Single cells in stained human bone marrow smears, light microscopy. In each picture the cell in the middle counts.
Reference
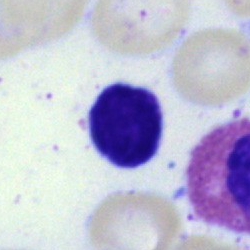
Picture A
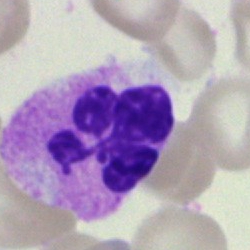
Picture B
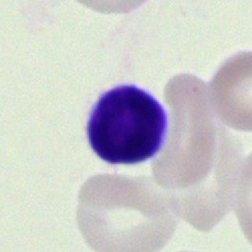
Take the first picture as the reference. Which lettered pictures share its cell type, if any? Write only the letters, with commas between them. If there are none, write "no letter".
B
